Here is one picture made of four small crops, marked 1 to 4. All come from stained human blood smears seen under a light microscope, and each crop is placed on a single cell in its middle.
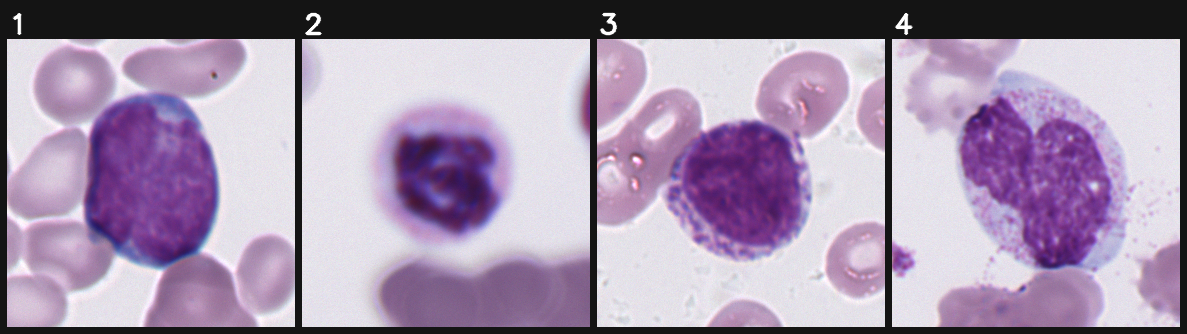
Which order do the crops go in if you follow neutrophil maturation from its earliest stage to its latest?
1, 3, 4, 2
